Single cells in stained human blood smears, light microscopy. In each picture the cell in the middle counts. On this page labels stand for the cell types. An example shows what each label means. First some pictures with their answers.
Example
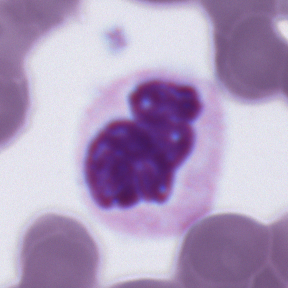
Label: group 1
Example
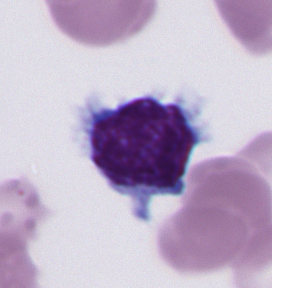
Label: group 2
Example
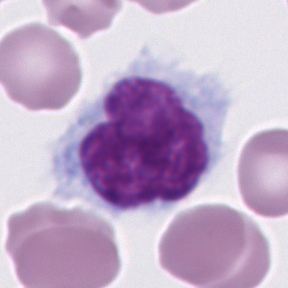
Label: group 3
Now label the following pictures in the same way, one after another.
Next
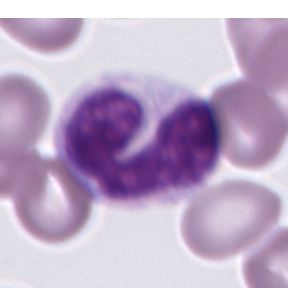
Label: group 1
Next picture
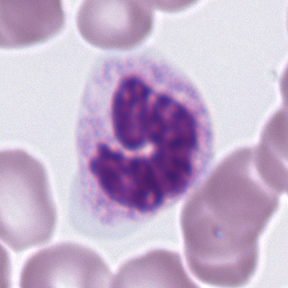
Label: group 1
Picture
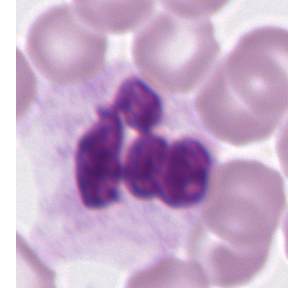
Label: group 1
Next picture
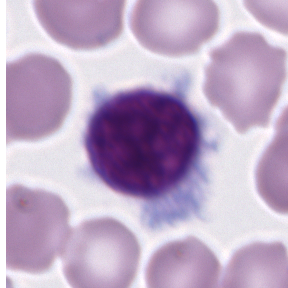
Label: group 3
